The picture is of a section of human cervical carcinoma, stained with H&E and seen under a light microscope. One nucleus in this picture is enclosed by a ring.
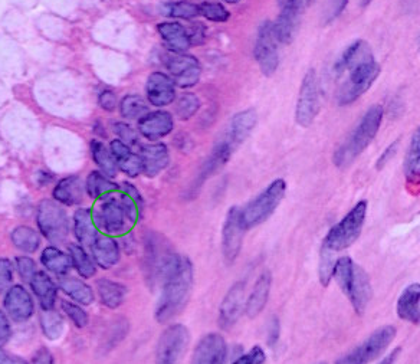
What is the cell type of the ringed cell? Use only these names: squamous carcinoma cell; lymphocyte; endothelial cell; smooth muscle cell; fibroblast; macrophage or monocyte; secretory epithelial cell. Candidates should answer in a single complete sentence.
Cytologically, the ringed cell is to be regarded as a secretory epithelial cell.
